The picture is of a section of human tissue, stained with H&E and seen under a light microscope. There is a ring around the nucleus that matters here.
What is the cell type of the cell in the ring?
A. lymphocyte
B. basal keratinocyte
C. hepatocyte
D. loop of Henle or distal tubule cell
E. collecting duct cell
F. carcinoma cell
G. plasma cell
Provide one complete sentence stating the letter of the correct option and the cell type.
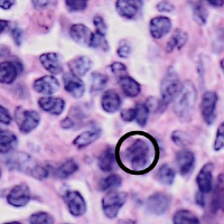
On this slide, the cell in the ring is a lymphocyte, so option A is right.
